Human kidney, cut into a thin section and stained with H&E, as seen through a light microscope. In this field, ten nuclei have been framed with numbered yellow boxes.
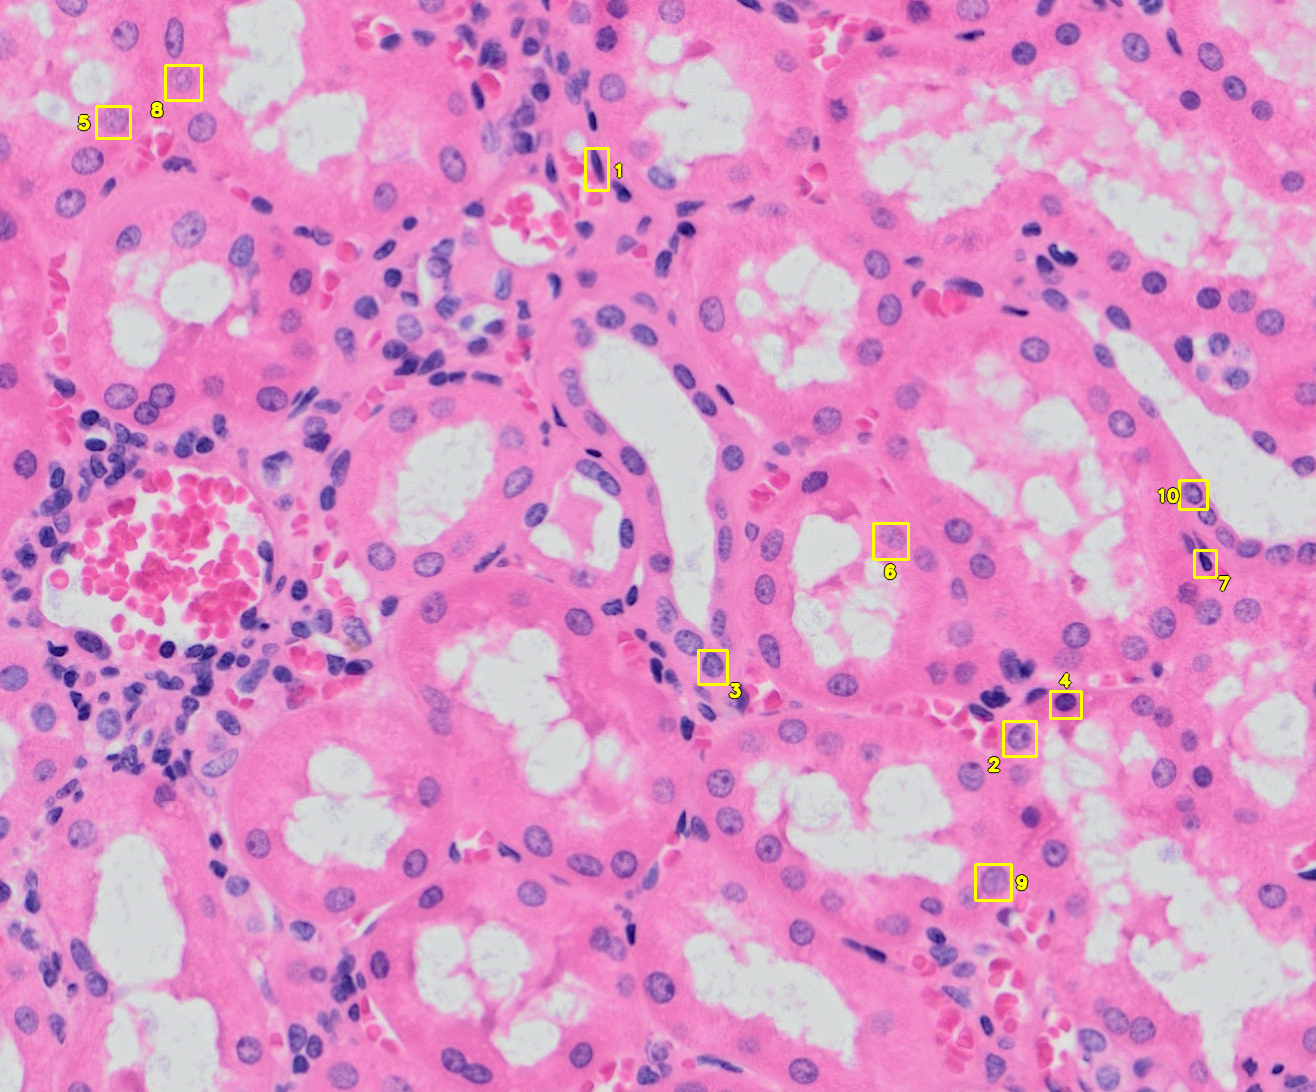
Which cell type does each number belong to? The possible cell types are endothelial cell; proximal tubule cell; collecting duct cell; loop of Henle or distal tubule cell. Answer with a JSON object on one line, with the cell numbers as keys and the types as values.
{"1": "endothelial cell", "2": "proximal tubule cell", "3": "collecting duct cell", "4": "proximal tubule cell", "5": "proximal tubule cell", "6": "proximal tubule cell", "7": "endothelial cell", "8": "proximal tubule cell", "9": "proximal tubule cell", "10": "collecting duct cell"}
